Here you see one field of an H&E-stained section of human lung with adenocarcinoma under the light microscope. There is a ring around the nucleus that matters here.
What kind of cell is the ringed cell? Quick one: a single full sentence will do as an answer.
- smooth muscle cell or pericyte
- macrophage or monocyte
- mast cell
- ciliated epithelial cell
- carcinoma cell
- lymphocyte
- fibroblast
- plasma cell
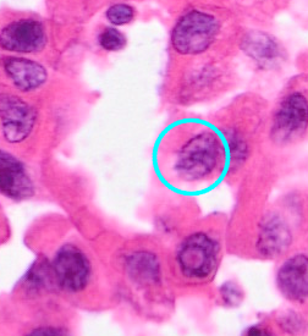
As classified here, the ringed cell is a carcinoma cell.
